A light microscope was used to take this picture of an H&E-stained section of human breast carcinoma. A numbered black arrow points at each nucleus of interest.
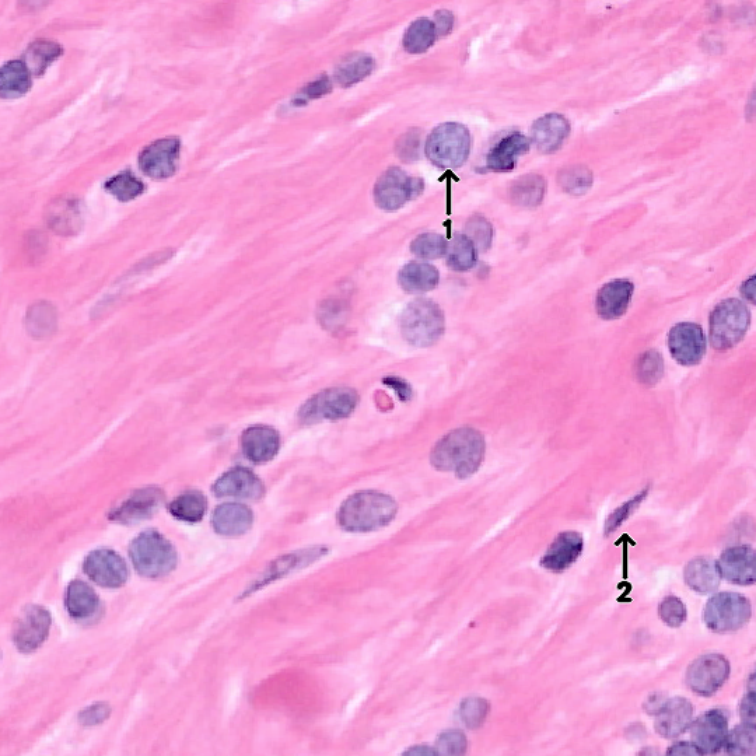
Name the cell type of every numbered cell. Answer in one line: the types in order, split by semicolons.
carcinoma cell; fibroblast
